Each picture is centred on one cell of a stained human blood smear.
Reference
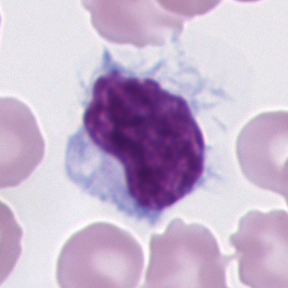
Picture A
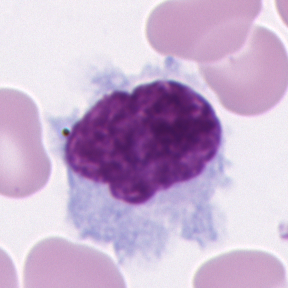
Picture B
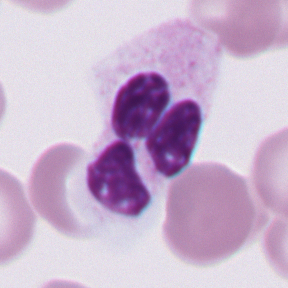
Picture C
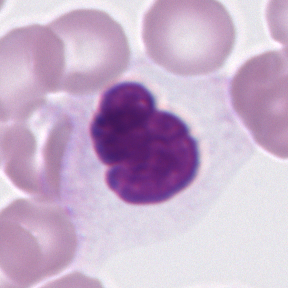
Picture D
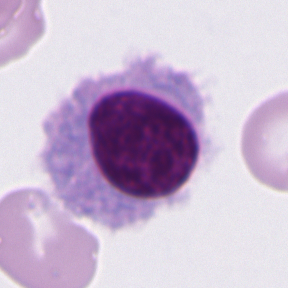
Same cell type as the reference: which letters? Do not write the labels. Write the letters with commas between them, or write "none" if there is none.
A, D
